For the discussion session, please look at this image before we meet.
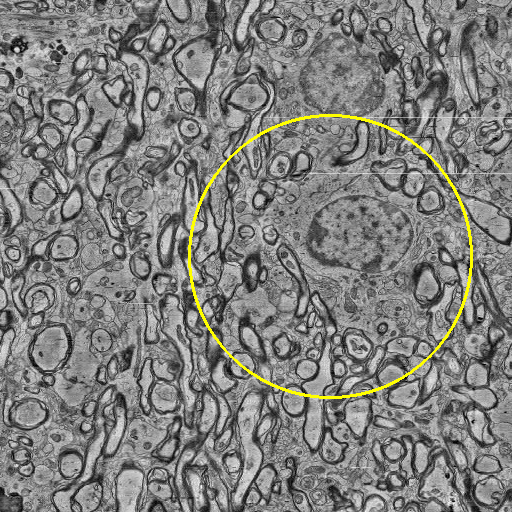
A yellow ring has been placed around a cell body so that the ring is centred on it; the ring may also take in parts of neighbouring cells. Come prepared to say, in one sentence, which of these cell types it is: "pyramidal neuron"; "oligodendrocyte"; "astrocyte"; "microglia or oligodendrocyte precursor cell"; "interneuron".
The cell centred in the ring is a microglial cell or oligodendrocyte precursor cell.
